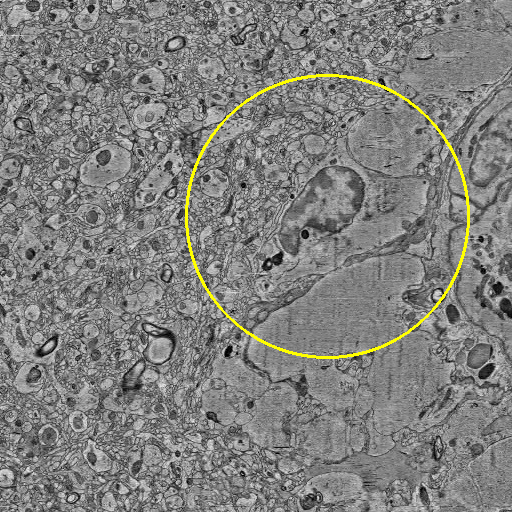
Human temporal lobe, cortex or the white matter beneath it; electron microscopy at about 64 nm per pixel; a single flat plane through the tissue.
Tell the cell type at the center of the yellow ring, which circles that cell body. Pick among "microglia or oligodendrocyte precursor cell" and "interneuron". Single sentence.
The ring is centered on the body of a microglial cell or oligodendrocyte precursor cell.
